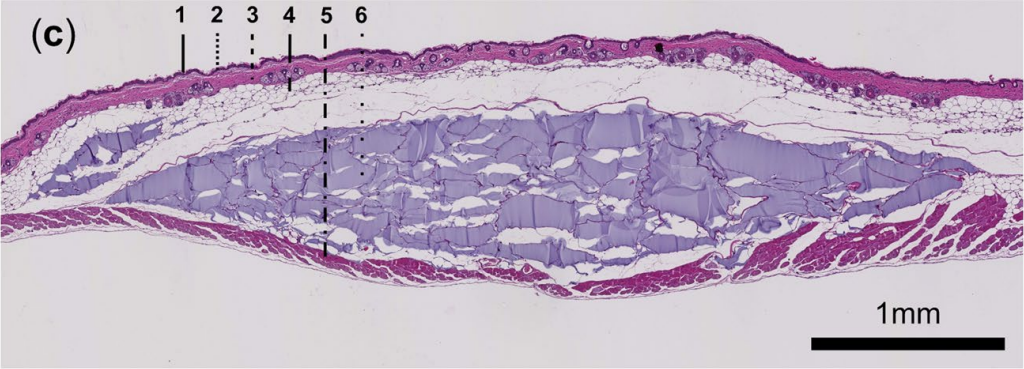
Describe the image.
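This section of skin shows a thin dark epidermis with hair follicles and a pink dermis on top and a red band of skeletal muscle, the panniculus carnosus, at the bottom. Between them, in the subcutis, lies a long, wide mass of pale lilac-purple material without cells. The mass is broken into many fragments by white clefts and spreads along most of the section. Only a thin layer of pale fat cells remains above it.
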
